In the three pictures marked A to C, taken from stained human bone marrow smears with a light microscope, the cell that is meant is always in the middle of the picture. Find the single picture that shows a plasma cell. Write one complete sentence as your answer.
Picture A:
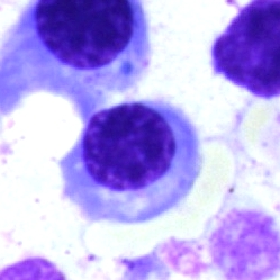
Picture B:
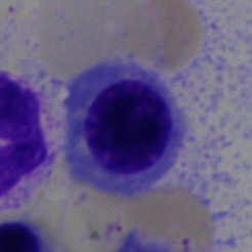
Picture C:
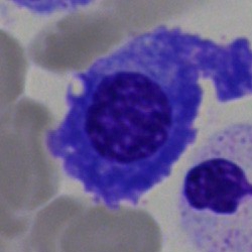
The cell in picture C is the plasma cell.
